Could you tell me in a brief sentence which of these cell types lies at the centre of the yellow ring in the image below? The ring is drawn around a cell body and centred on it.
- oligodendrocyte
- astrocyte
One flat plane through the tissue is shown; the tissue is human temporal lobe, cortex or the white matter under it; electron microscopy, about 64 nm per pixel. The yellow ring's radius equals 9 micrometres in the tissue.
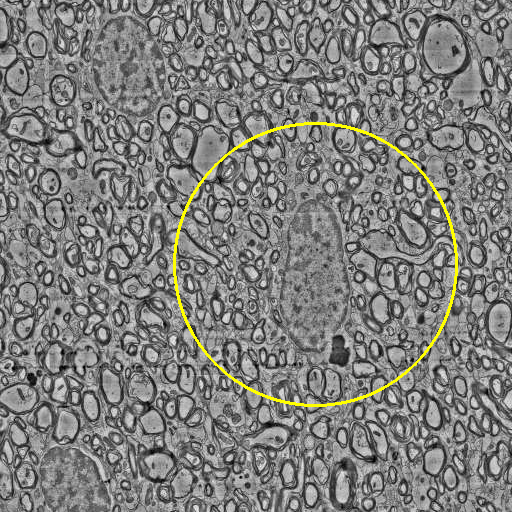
The cell centred in the ring is an oligodendrocyte.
